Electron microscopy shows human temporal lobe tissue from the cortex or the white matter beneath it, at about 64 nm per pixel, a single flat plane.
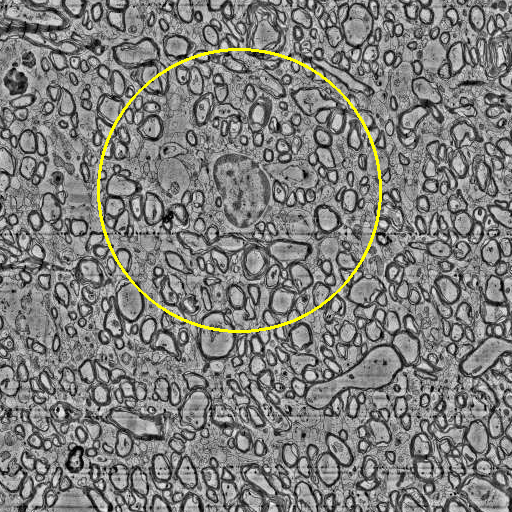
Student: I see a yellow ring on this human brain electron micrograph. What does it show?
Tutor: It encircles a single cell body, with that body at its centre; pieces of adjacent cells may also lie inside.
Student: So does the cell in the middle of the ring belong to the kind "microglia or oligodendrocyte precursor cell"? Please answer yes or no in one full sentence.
Yes, the cell in the middle of that yellow ring belongs to this kind.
